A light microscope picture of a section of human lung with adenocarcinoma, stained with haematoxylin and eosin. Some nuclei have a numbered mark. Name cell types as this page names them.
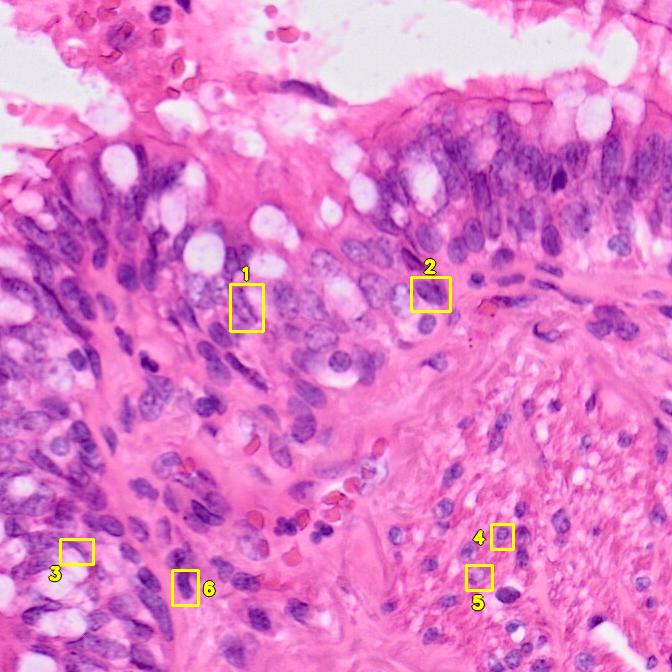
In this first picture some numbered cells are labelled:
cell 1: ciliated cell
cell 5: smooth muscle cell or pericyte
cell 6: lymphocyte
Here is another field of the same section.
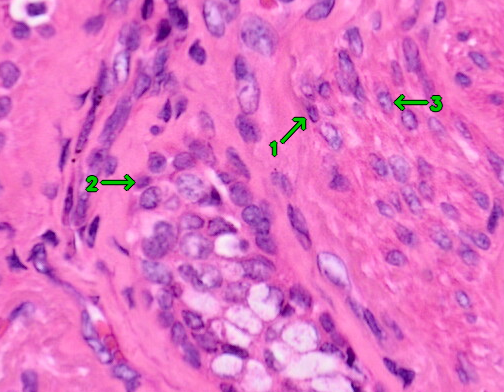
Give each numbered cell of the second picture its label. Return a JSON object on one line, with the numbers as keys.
{"1": "smooth muscle cell or pericyte", "2": "ciliated cell", "3": "smooth muscle cell or pericyte"}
